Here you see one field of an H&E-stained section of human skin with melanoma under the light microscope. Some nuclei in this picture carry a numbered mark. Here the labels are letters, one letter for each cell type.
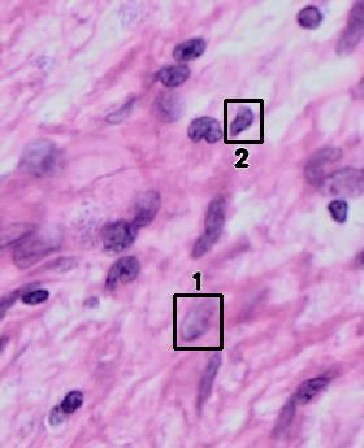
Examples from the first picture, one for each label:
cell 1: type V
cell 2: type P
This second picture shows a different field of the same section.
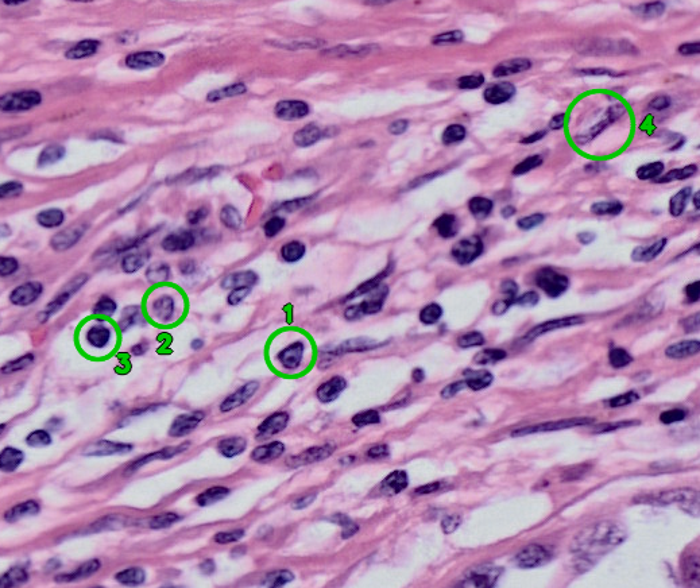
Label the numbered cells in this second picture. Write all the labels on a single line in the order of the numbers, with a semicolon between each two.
type P; type P; type P; type V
